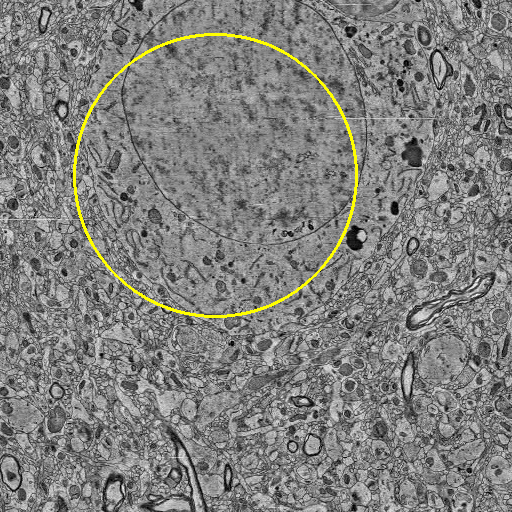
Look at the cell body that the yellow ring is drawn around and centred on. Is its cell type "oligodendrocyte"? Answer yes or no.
no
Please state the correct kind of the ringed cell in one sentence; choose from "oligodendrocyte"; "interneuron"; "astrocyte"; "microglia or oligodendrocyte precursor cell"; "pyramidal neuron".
The cell enclosed by the ring is a pyramidal neuron.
